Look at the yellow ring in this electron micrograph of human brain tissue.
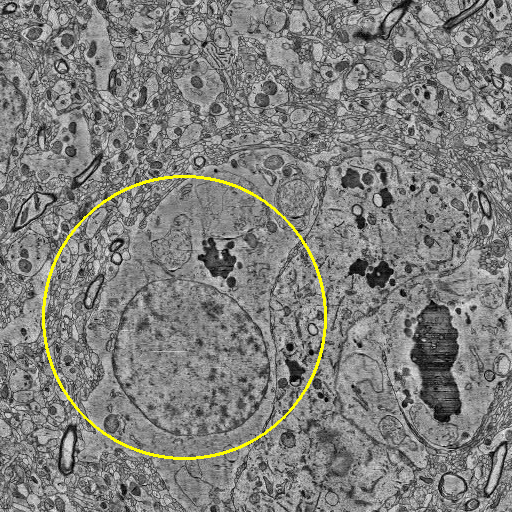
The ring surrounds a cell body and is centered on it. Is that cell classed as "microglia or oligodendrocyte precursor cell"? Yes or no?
No, it is of another kind.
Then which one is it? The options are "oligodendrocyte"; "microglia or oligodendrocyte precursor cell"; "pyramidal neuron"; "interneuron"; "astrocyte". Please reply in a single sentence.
The ring holds an astrocyte at its centre.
